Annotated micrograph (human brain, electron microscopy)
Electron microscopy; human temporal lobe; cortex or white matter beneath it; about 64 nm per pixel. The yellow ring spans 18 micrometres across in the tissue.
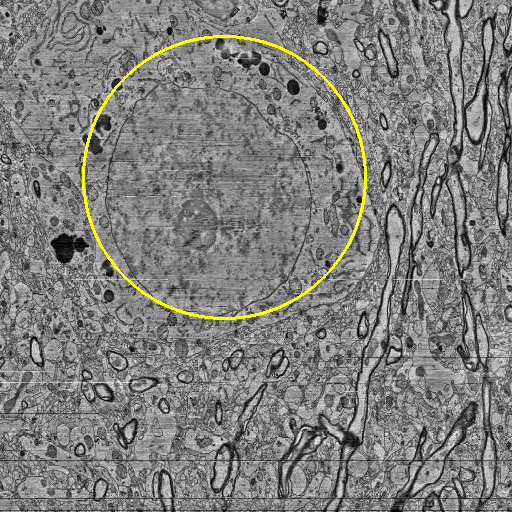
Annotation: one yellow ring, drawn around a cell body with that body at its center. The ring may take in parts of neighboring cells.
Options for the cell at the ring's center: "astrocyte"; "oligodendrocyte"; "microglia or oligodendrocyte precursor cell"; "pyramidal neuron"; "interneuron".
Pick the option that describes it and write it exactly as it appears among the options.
pyramidal neuron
